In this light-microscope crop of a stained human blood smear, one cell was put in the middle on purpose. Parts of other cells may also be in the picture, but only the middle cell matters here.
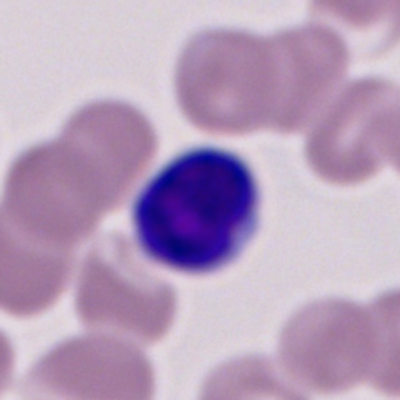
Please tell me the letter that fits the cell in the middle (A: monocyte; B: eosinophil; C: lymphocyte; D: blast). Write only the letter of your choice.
C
